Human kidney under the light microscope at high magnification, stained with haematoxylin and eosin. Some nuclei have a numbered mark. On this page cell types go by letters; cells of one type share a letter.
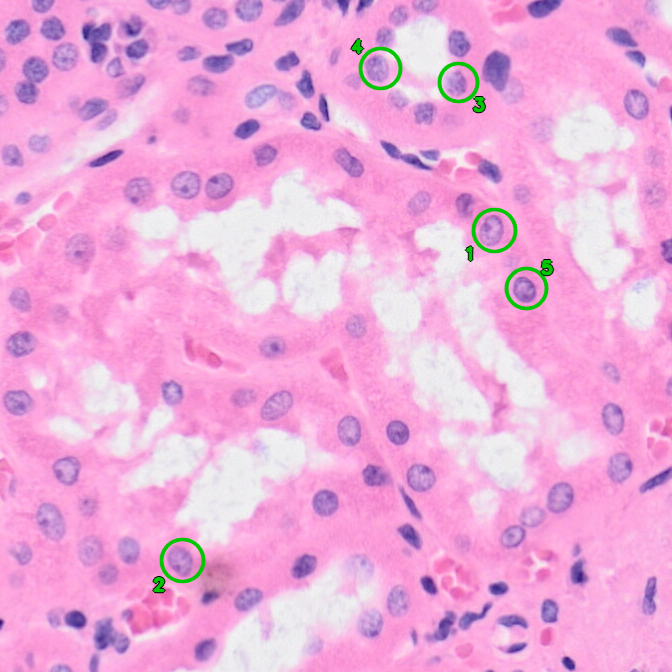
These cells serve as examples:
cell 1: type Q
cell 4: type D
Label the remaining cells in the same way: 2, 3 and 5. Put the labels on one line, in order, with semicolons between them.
type Q; type D; type Q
